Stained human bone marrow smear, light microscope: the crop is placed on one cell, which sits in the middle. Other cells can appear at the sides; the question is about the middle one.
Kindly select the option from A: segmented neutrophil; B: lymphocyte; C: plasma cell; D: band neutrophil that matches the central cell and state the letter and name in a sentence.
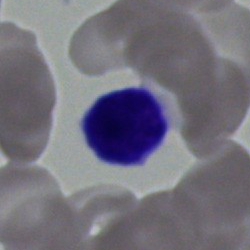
Option B is the keyed answer: the cell in the middle is a lymphocyte.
